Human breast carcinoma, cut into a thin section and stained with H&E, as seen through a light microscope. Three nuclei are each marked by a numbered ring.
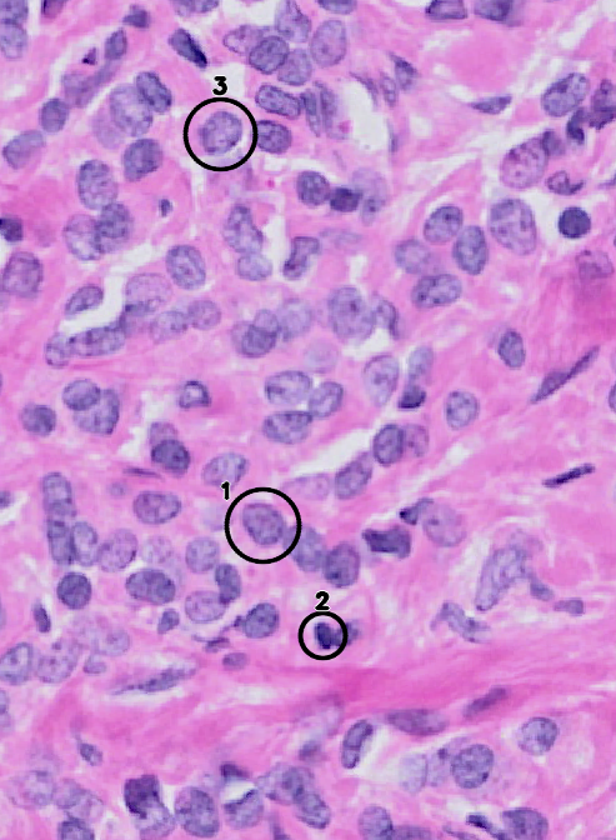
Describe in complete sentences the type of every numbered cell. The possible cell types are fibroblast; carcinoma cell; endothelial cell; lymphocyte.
Cells 1 and 3 are carcinoma cells. Cell 2 is a lymphocyte.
